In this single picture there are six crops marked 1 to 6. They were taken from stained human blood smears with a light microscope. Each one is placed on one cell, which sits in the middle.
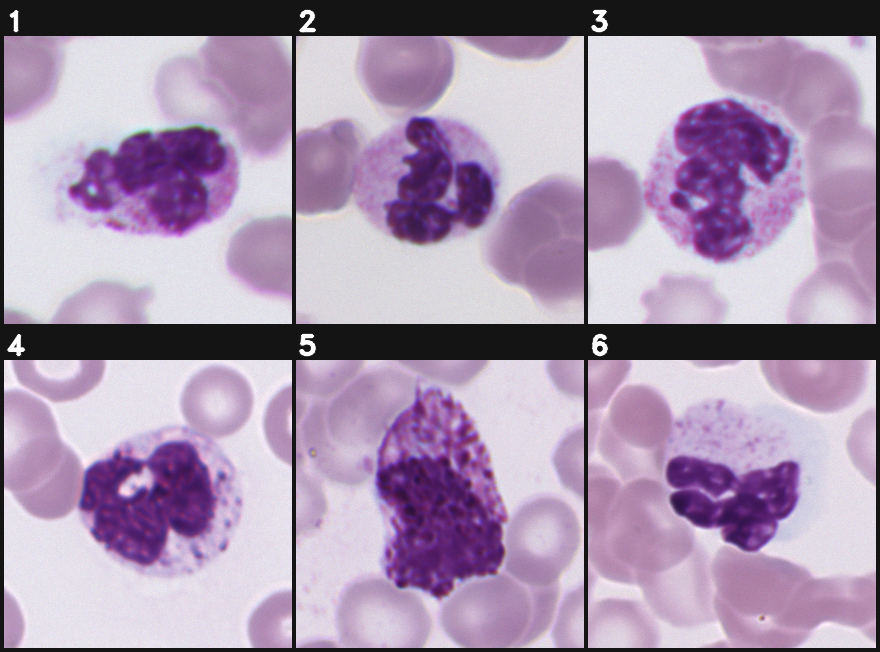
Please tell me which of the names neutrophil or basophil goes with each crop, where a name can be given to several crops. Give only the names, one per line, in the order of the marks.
neutrophil
neutrophil
neutrophil
basophil
basophil
neutrophil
